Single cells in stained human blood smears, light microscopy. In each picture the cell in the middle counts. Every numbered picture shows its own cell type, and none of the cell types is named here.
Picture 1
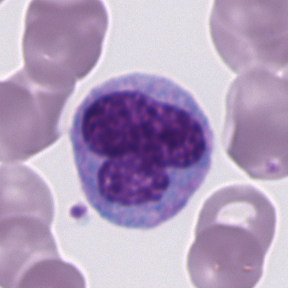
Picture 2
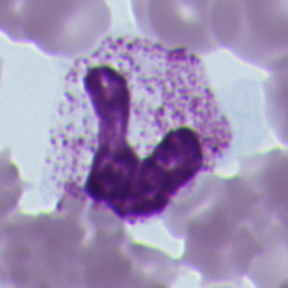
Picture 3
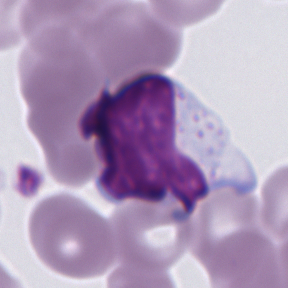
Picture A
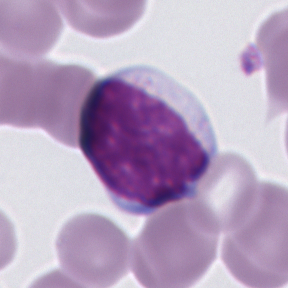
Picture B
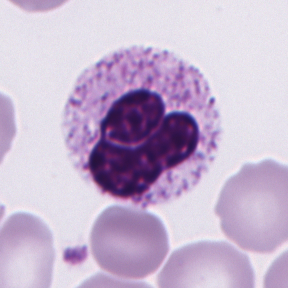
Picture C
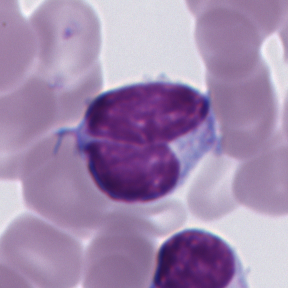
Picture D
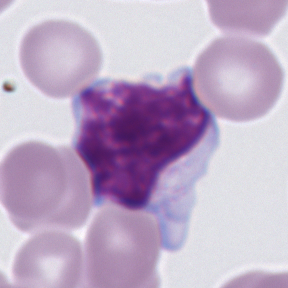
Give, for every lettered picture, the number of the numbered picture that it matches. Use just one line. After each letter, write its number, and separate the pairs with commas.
A 3, B 2, C 3, D 3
